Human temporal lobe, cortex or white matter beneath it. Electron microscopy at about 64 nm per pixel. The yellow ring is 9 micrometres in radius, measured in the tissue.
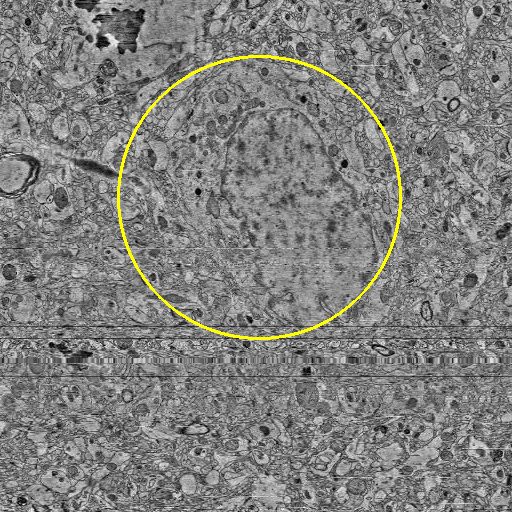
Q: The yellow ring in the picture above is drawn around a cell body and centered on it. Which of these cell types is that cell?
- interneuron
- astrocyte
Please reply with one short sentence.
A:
The cell body at the ring's center belongs to an interneuron.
